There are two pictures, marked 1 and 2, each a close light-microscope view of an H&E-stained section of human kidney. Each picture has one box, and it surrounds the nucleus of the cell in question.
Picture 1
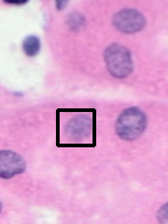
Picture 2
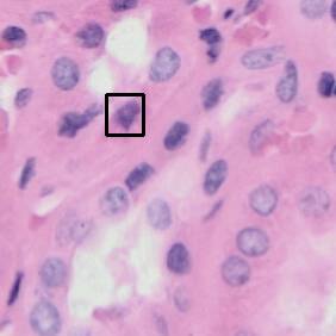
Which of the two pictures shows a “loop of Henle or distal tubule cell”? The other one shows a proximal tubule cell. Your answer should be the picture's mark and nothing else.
2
